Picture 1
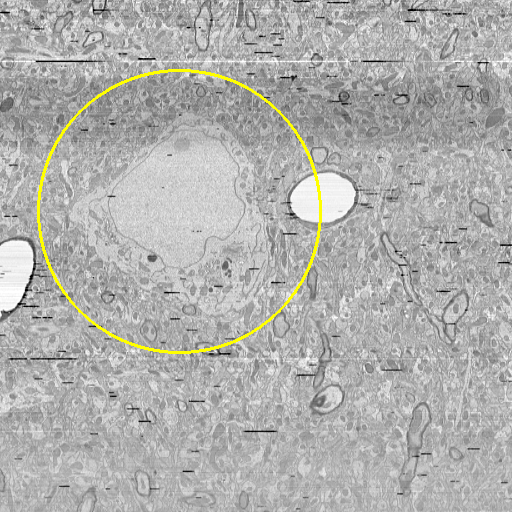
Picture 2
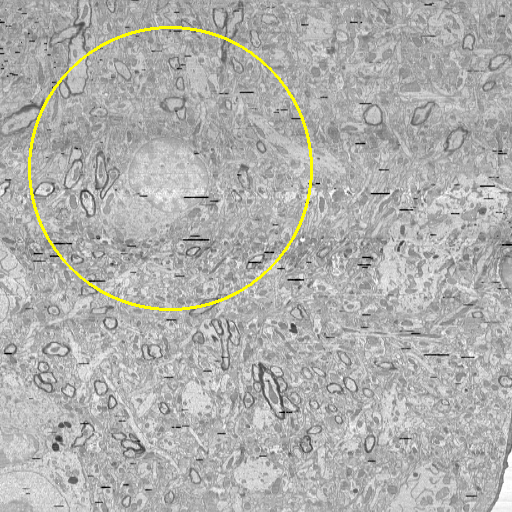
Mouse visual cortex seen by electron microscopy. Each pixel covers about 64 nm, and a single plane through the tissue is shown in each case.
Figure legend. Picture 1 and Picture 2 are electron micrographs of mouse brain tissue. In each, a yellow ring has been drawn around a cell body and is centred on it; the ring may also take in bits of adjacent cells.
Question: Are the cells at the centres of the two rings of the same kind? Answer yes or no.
no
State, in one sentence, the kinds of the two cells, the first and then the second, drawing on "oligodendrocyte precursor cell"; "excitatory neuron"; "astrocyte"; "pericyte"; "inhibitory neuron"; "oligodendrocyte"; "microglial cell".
The ring in the second picture is centred on an oligodendrocyte, the ring in the first on an excitatory neuron.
